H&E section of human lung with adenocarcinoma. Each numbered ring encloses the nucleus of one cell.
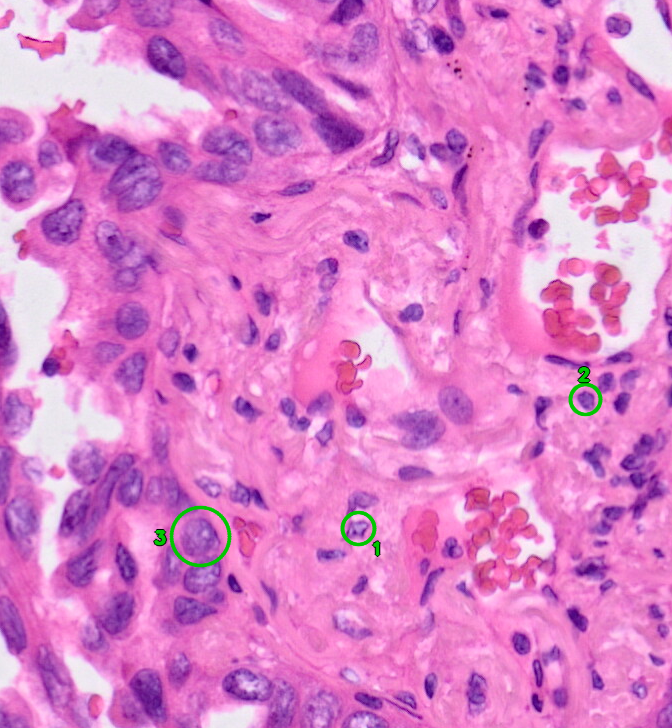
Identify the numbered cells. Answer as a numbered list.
1. fibroblast
2. lymphocyte
3. carcinoma cell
